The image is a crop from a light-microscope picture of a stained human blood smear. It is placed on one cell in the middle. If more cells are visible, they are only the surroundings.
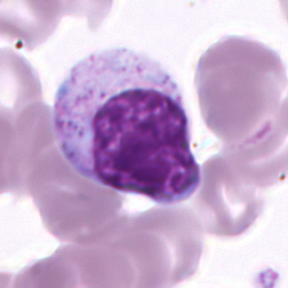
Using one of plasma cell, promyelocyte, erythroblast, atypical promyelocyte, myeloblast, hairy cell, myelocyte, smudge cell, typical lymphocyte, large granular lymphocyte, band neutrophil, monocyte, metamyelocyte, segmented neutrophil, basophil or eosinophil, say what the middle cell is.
metamyelocyte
